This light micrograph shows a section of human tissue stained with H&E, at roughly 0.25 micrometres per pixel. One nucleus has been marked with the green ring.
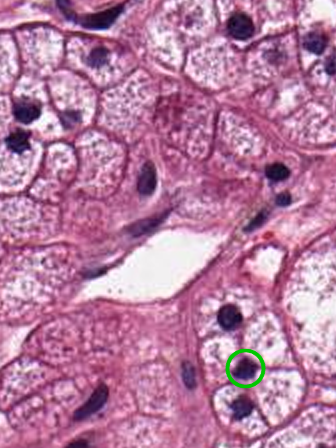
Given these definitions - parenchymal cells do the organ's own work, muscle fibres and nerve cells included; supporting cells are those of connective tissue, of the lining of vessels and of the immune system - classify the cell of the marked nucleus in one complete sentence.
The marked nucleus belongs to one of the parenchymal cells, namely an adrenal cortical cell.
